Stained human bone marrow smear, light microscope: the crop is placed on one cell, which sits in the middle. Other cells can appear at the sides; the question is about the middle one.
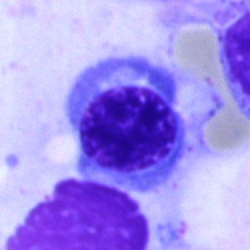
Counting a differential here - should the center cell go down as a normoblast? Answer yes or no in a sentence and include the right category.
Yes, in the centre of this field sits a normoblast.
